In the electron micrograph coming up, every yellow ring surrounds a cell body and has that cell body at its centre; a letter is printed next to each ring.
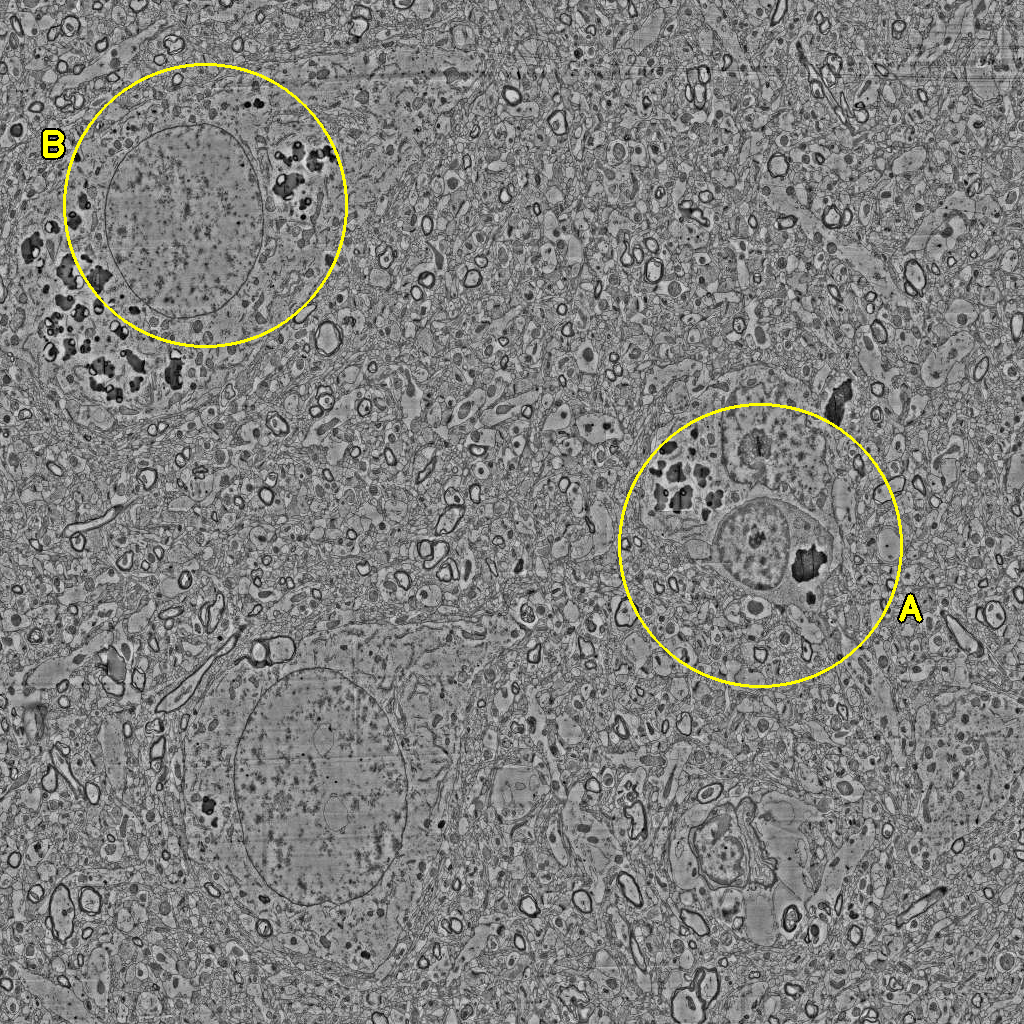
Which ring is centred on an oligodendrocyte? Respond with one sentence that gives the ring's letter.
Ring A is the one whose centre sits on the cell asked for in the picture.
